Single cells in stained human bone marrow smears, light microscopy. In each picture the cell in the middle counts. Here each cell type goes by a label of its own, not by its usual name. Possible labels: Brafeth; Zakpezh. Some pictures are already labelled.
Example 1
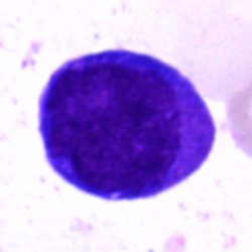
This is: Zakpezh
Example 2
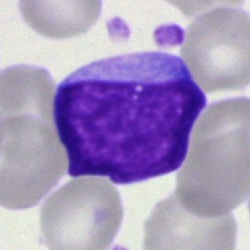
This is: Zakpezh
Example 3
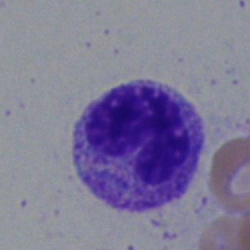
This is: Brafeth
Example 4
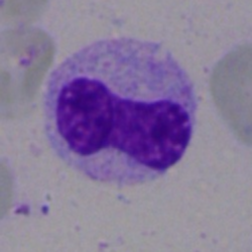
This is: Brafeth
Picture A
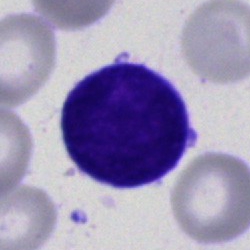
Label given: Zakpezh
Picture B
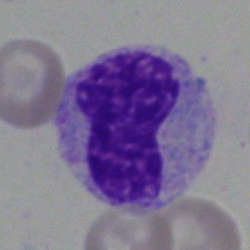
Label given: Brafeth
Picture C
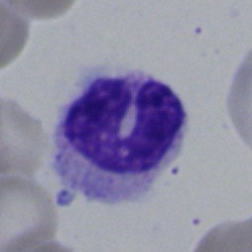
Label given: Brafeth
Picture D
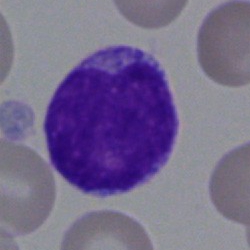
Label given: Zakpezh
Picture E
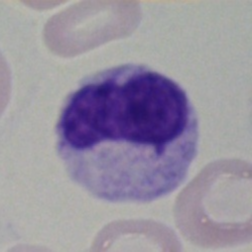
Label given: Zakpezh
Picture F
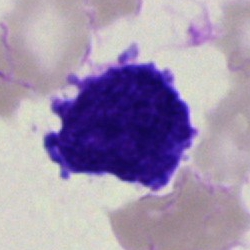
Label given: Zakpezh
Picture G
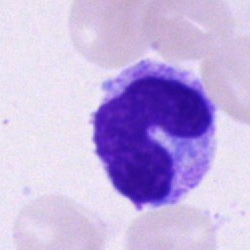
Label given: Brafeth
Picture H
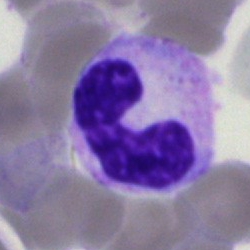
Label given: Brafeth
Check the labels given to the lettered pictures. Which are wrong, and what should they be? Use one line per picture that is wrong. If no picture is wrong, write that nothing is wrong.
Wrong: E (Zakpezh); correct: Brafeth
